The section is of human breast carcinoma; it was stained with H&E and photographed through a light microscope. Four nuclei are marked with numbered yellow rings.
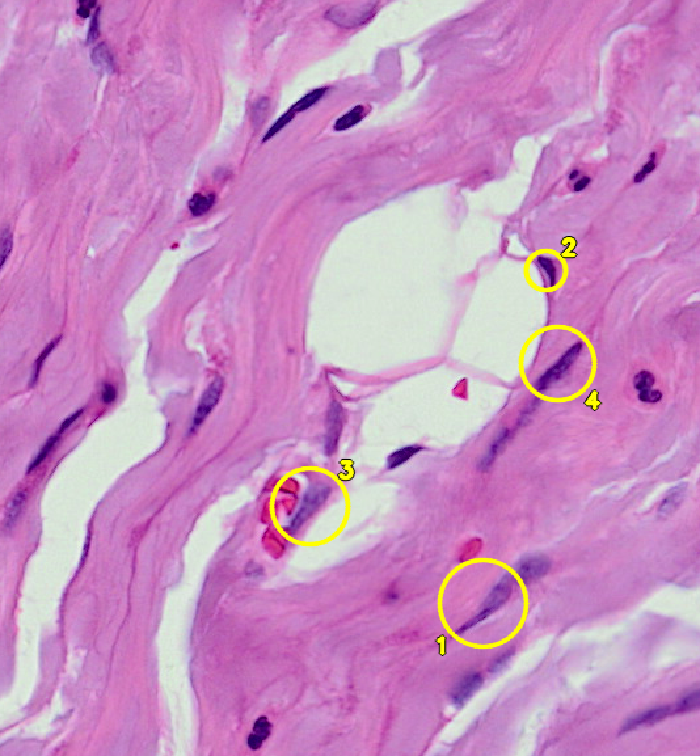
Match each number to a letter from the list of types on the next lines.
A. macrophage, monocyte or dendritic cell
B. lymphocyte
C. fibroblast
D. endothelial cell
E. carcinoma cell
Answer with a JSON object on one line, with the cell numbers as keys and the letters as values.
{"1": "C", "2": "C", "3": "D", "4": "C"}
